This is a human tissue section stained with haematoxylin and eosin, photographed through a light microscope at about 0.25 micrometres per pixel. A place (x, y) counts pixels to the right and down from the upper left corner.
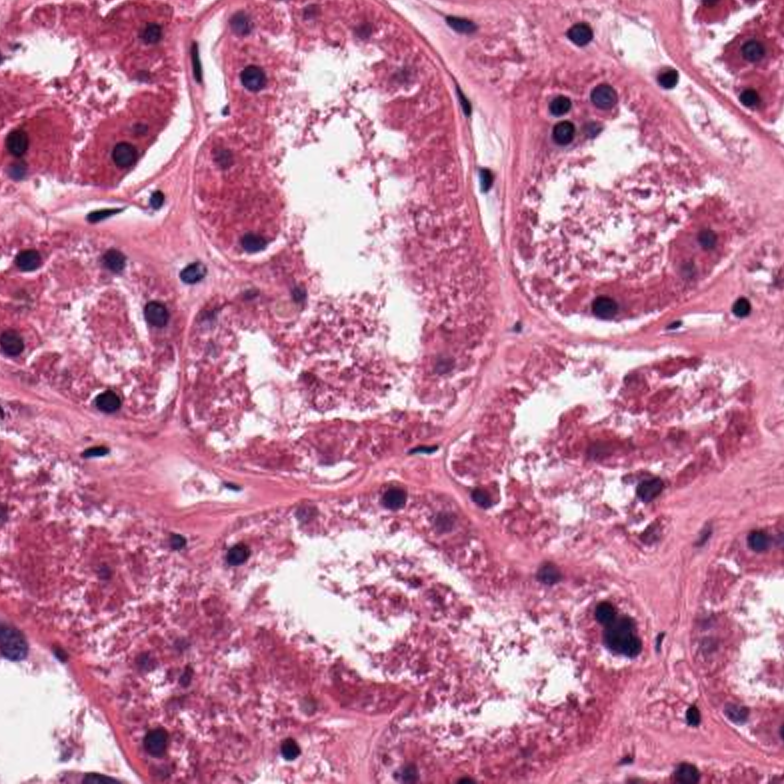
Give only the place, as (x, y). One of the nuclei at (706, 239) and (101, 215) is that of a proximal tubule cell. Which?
(706, 239)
